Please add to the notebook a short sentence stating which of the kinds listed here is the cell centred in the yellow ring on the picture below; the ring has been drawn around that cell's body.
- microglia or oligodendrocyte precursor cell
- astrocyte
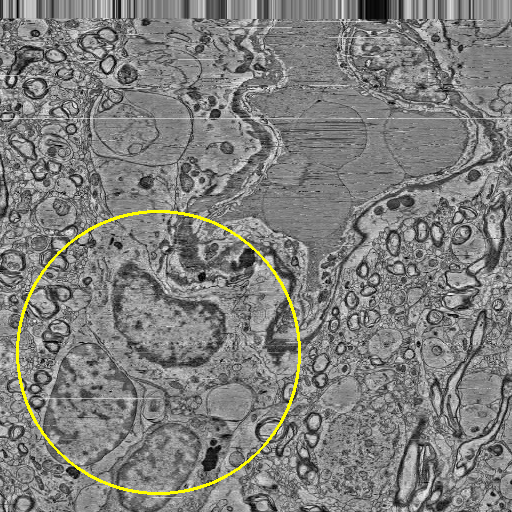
The cell centred in the yellow ring is a microglial cell or oligodendrocyte precursor cell.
